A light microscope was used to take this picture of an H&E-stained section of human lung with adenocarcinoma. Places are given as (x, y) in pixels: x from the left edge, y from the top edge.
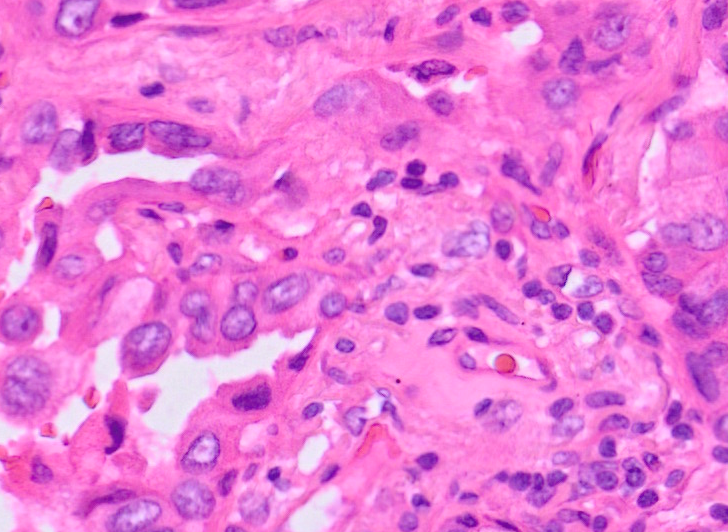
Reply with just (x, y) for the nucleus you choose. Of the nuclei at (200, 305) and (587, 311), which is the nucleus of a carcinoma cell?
(200, 305)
